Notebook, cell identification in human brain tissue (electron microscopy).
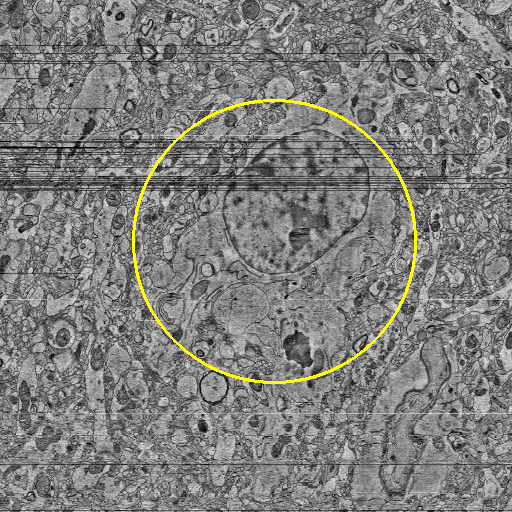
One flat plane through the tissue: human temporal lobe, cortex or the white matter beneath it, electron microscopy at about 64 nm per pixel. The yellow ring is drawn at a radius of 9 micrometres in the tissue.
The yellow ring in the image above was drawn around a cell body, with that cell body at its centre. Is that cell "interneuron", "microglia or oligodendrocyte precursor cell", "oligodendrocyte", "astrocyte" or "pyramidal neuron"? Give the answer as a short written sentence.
The cell in the ring is an astrocyte.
